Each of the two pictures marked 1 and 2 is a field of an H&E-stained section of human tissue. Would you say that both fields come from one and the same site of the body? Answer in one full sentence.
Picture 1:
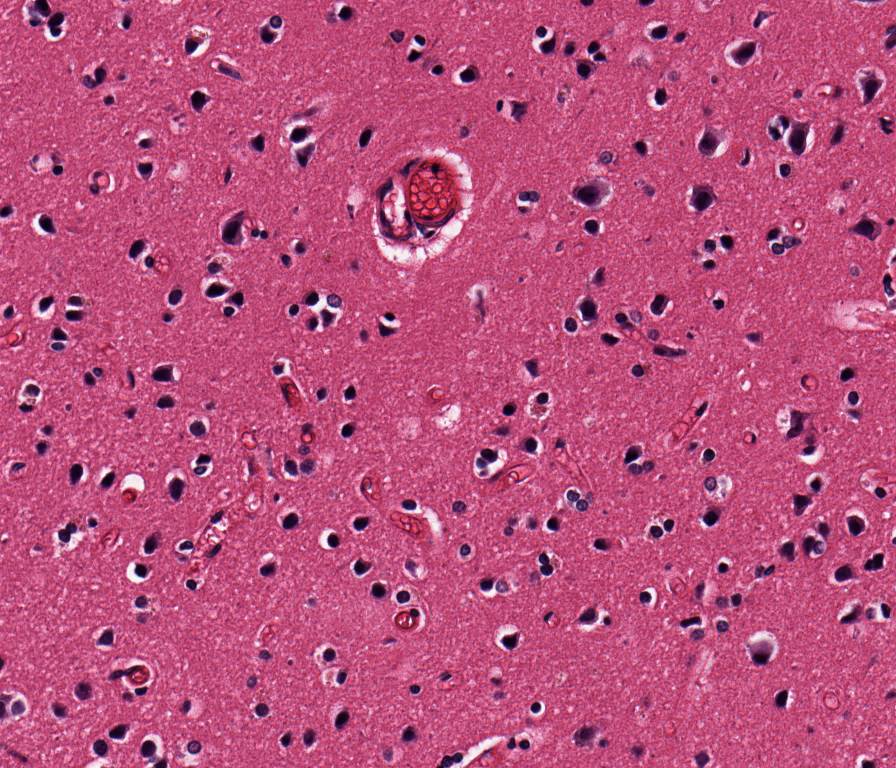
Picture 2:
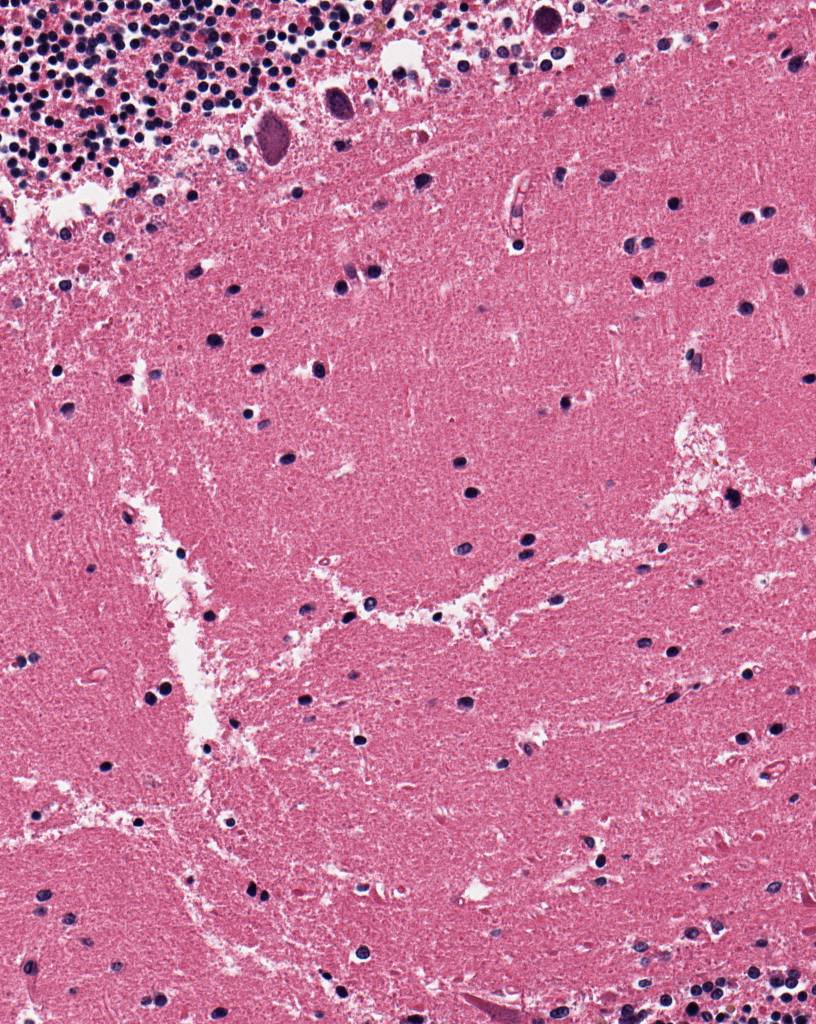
No. Picture 1 comes from the cerebral cortex, whereas picture 2 comes from the cerebellum.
